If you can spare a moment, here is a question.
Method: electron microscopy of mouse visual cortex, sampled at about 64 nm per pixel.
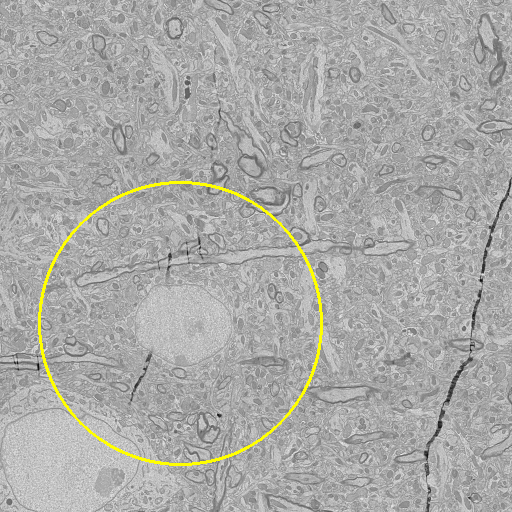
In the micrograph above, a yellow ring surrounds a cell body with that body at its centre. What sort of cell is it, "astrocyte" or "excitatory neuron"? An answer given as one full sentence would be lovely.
Centred inside the yellow ring, the cell body shown belongs to an astrocyte in this micrograph.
